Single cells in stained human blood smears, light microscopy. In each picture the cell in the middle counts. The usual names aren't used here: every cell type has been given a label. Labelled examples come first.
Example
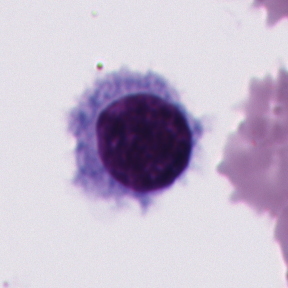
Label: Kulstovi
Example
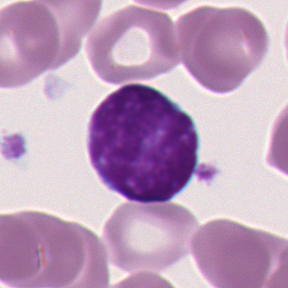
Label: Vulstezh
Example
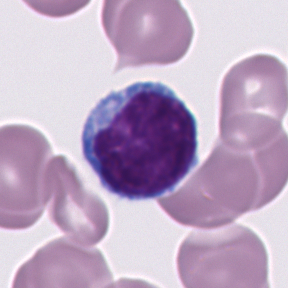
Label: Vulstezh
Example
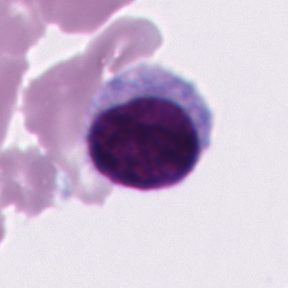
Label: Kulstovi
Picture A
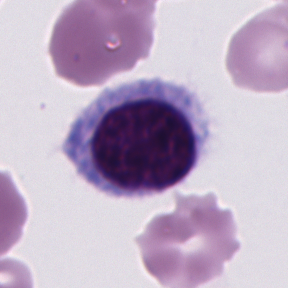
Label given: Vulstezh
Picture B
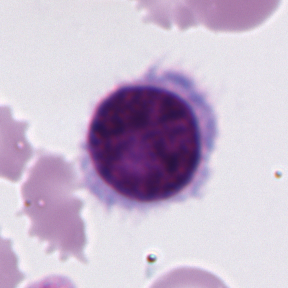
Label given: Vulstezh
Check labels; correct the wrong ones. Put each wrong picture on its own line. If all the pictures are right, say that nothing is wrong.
Wrong: A (Vulstezh); correct: Kulstovi
Wrong: B (Vulstezh); correct: Kulstovi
